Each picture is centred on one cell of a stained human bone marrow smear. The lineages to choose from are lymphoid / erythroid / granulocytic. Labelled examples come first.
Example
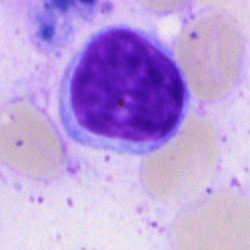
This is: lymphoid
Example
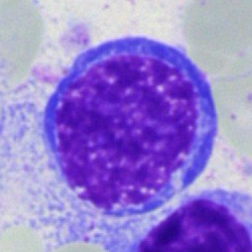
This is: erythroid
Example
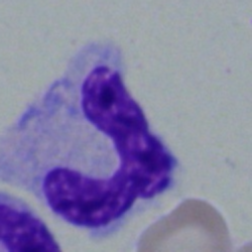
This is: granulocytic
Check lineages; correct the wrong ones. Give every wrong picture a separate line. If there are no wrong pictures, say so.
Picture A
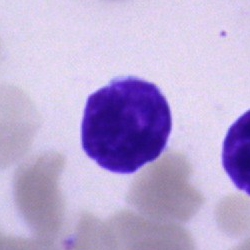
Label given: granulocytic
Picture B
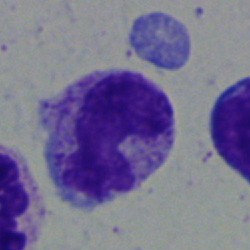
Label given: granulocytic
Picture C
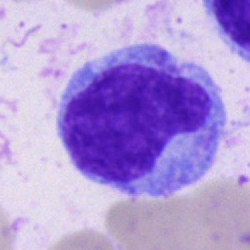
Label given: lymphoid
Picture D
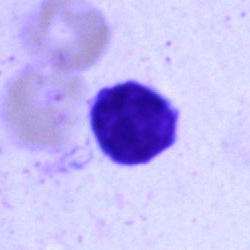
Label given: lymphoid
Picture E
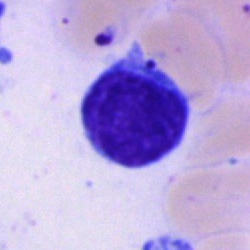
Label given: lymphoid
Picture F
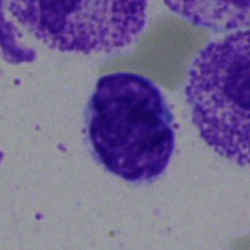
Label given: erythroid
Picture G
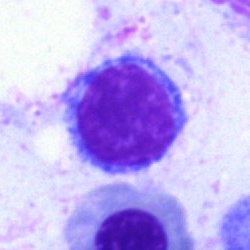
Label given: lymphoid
A: lymphoid, not granulocytic
F: lymphoid, not erythroid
